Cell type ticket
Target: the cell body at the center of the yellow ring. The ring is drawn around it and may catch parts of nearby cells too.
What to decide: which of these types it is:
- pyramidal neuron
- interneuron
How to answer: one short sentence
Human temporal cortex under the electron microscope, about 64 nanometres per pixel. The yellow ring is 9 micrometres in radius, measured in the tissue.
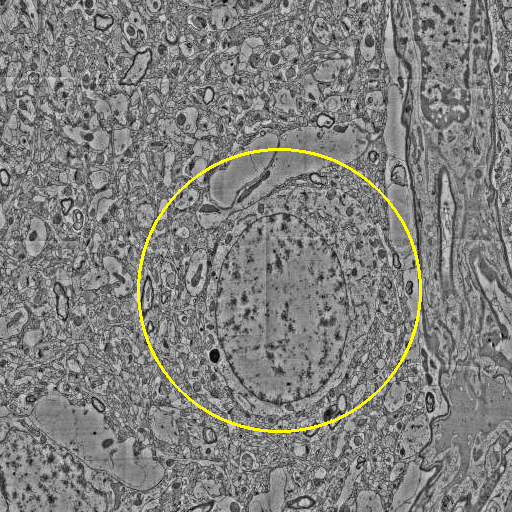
The cell at the center of the ring is a pyramidal neuron.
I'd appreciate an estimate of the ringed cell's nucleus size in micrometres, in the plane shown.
About 12 micrometres by about 9 micrometres in this plane.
